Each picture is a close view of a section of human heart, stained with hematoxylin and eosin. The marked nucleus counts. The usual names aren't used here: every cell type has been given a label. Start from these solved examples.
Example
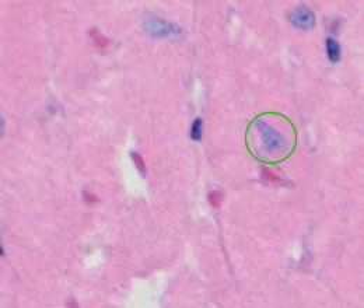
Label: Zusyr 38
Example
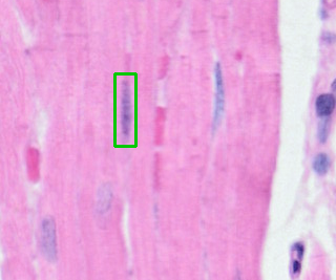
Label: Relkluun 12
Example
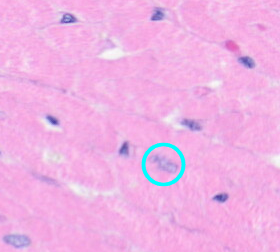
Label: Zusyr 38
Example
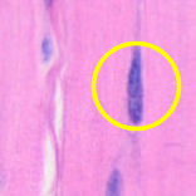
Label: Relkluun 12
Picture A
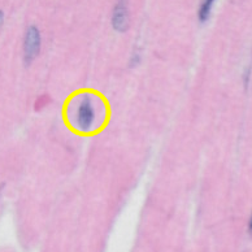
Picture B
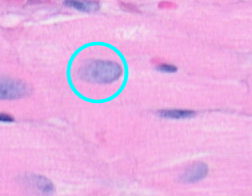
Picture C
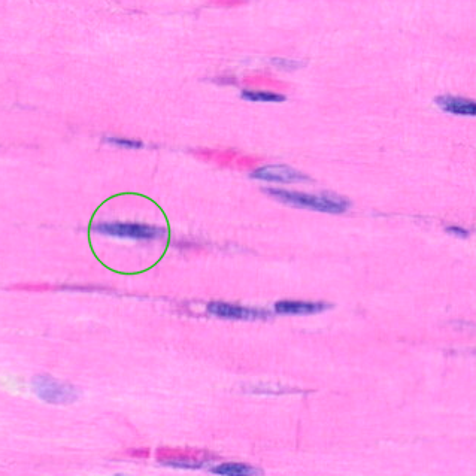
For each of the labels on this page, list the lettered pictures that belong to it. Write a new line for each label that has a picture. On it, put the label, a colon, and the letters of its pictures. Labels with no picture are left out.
Zusyr 38: B
Relkluun 12: A, C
